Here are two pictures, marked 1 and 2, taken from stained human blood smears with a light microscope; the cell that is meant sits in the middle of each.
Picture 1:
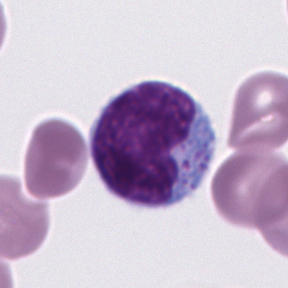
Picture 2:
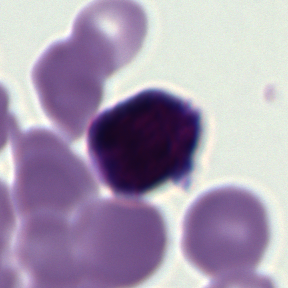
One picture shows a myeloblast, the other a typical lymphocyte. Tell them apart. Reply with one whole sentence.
Picture 1 is of a typical lymphocyte, and picture 2 is of a myeloblast.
